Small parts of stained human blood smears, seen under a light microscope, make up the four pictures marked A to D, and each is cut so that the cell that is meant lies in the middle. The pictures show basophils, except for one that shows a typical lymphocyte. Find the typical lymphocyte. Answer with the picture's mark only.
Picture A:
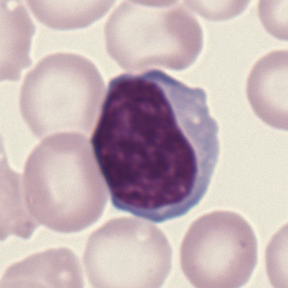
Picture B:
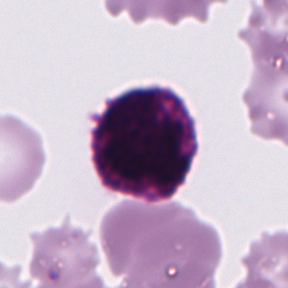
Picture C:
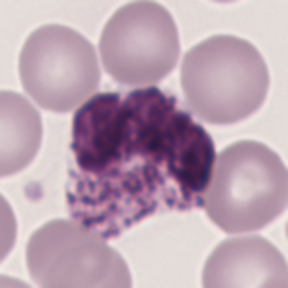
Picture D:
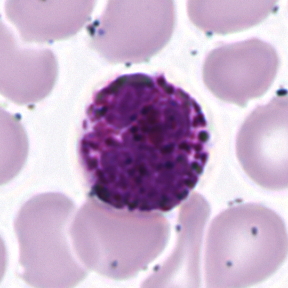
A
